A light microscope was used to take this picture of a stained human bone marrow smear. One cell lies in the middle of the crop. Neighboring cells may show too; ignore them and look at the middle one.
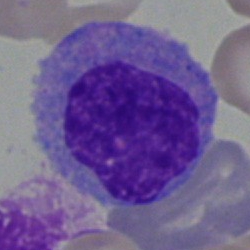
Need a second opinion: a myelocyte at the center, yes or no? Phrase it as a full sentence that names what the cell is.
No, not a myelocyte but a monocyte is the cell in the centre.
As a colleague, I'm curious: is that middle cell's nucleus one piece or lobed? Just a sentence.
A single compact nucleus, round, oval or kidney-shaped, is what this cell shows.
